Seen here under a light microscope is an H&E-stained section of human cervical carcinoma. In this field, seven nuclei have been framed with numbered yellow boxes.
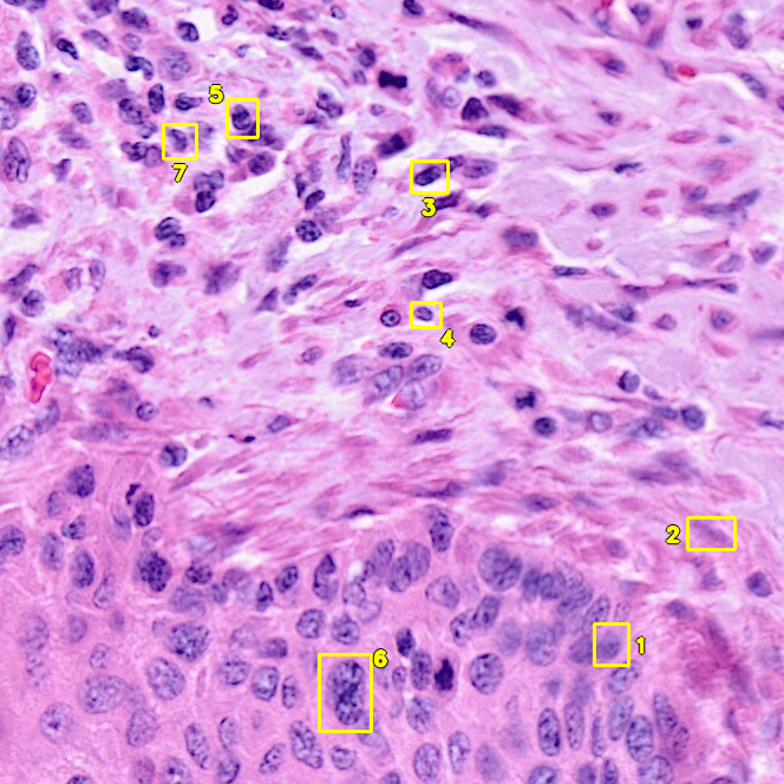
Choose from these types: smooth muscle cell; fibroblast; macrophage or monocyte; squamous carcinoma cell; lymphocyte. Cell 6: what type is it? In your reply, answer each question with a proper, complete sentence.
The cell numbered 6 represents a squamous carcinoma cell.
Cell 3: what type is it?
The cell assigned the number 3 is a lymphocyte.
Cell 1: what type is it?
Belonging to a squamous carcinoma cell is the nucleus that carries the number 1.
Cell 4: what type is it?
The cell identified by number 4 is a lymphocyte.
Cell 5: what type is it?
The cell numbered 5 has been identified as a lymphocyte.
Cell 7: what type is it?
Number 7 among the marked cells is a lymphocyte.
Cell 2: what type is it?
Marked with the number 2, this cell is a fibroblast.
